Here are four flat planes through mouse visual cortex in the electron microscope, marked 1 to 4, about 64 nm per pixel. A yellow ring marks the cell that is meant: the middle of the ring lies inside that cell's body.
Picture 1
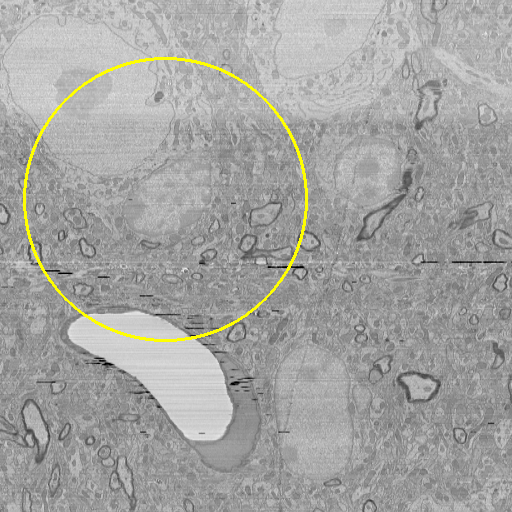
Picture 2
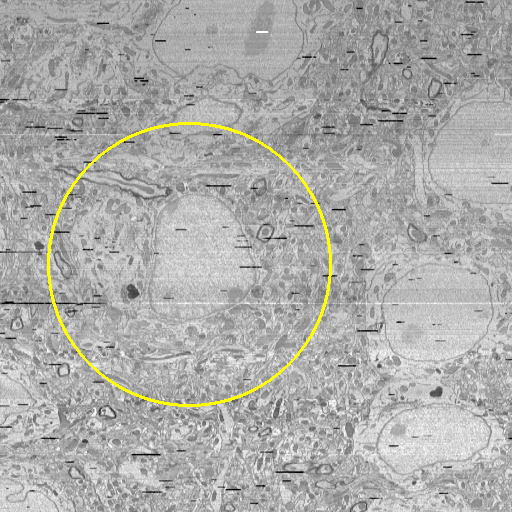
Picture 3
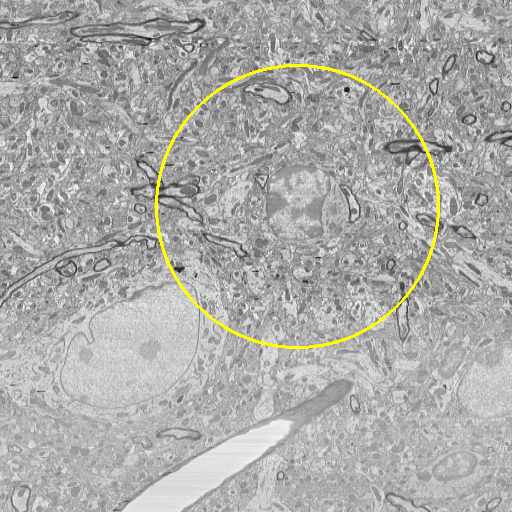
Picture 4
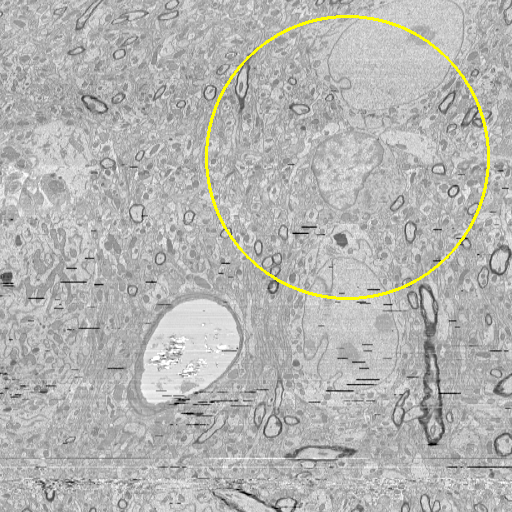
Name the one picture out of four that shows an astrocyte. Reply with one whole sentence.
Picture 2 shows the astrocyte.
